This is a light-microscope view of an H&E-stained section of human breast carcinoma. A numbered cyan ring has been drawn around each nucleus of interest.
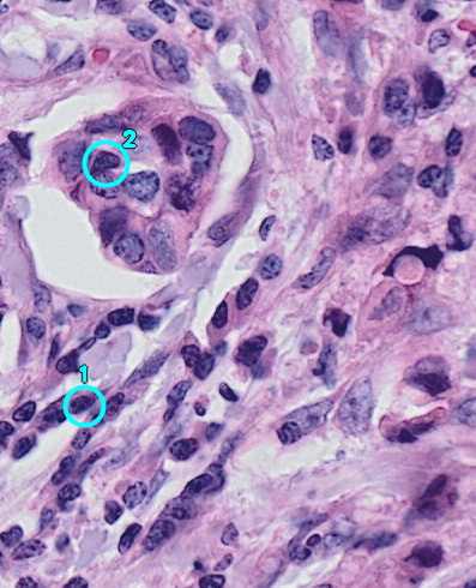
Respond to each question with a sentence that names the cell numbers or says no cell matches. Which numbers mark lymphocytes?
Only the cell numbered 1 is a lymphocyte; none of the others is.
